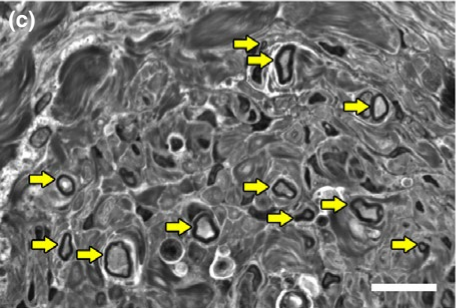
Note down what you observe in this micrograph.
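This cross-section of a nerve segment shows only a few scattered myelinated axons. They appear as small profiles with a dark ring of myelin around a pale center. The fibers lie isolated within a dense, irregular grey tissue that takes up most of the field.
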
